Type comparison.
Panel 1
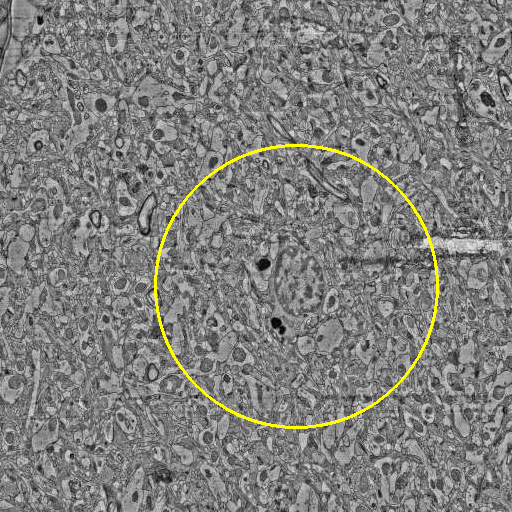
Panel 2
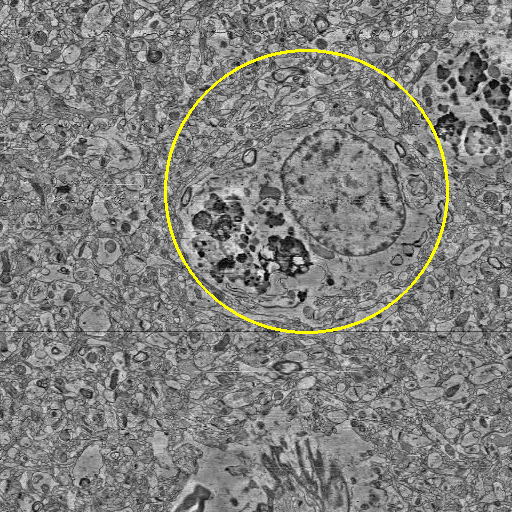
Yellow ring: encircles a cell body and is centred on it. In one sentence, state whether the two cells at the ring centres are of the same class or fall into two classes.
In these panels, the two cells at the ring centres fall into two classes.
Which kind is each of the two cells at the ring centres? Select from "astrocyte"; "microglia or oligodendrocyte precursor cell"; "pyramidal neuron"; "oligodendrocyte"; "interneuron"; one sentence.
The cell at the centre of the ring is an oligodendrocyte in the first picture and an astrocyte in the second.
